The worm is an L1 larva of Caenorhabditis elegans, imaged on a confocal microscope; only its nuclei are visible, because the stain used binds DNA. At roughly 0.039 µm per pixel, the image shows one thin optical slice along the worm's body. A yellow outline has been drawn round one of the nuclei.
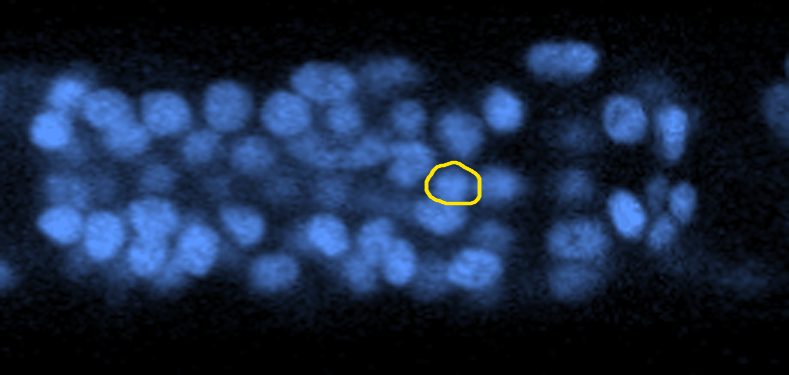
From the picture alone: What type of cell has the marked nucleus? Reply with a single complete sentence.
This nucleus is from a neuron.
